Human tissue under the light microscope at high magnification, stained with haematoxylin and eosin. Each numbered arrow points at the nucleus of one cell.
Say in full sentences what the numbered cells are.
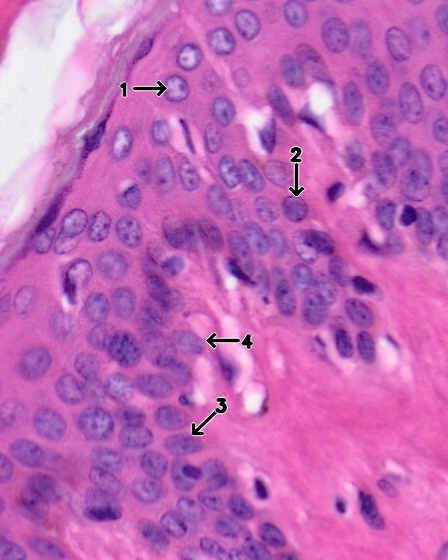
Cell 1 is a suprabasal keratinocyte, cell 2 is a basal keratinocyte, cell 3 is a basal keratinocyte and cell 4 is a basal keratinocyte.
